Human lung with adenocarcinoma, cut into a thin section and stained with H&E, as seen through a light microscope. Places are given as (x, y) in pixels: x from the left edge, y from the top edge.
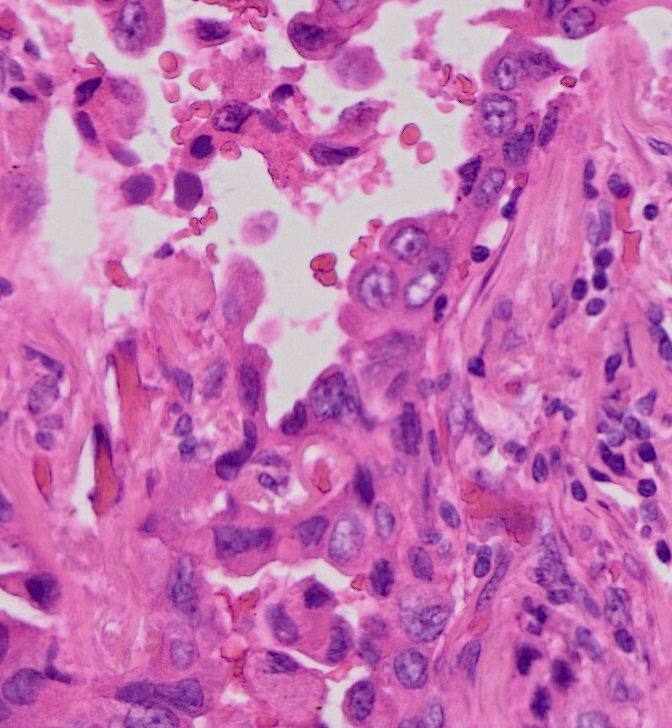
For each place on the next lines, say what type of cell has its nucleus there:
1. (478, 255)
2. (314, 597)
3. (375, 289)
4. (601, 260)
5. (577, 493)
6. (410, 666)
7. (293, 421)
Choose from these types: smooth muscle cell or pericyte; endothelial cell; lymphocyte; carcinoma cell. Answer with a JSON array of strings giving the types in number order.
["lymphocyte", "carcinoma cell", "carcinoma cell", "lymphocyte", "lymphocyte", "carcinoma cell", "carcinoma cell"]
